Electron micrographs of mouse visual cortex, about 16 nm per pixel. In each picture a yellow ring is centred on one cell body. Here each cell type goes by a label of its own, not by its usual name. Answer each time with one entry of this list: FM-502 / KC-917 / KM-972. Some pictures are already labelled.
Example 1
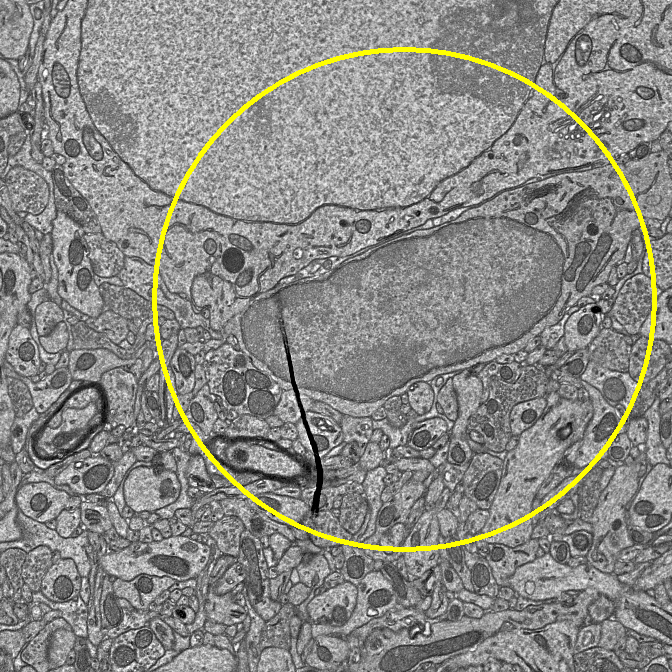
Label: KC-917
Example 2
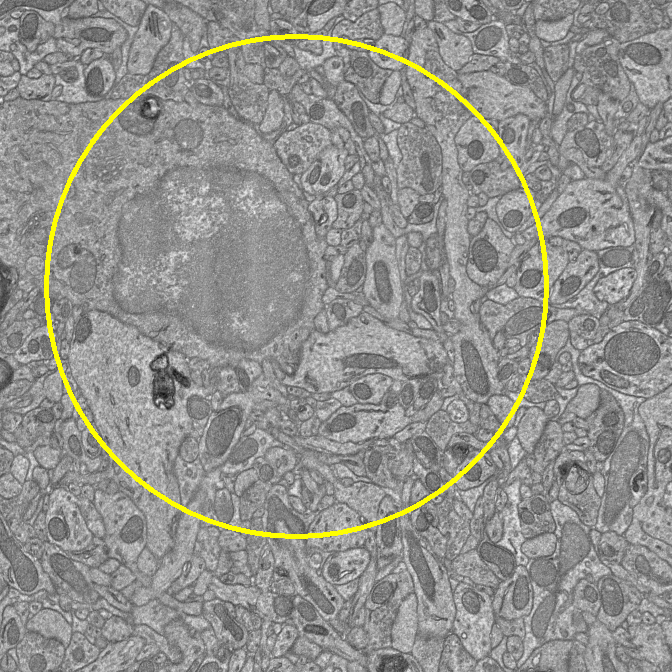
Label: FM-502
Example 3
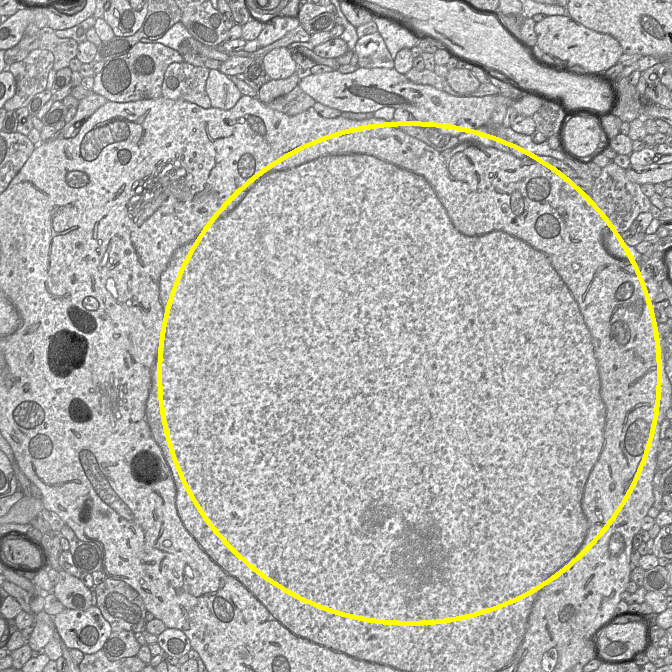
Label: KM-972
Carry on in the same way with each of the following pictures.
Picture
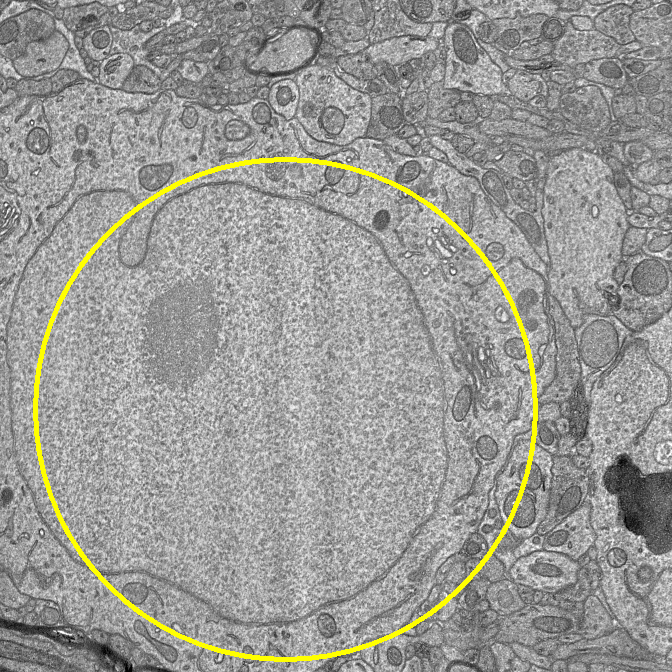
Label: KM-972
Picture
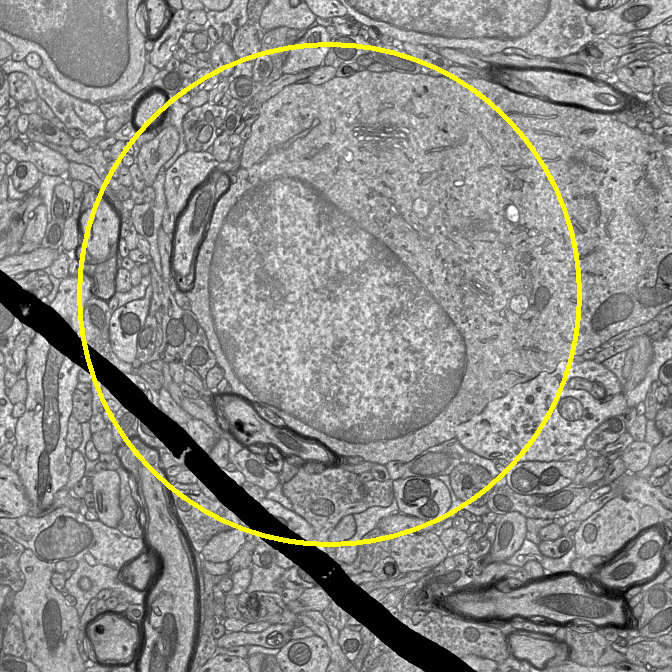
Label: FM-502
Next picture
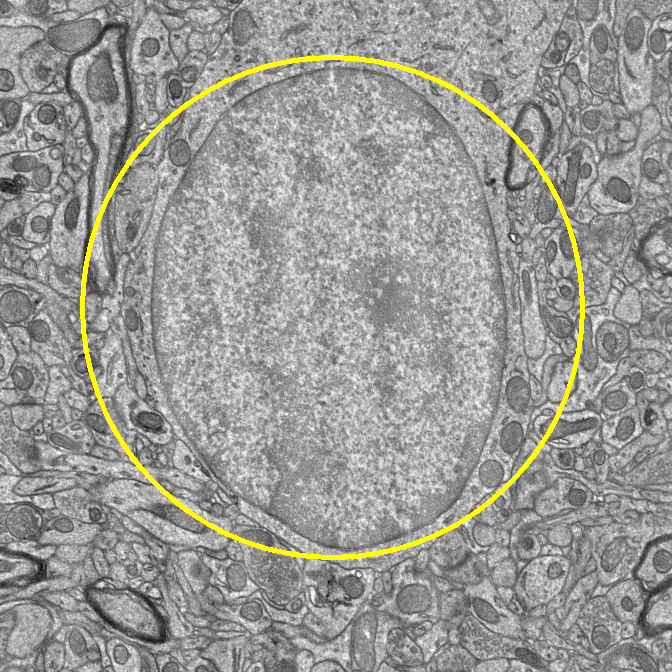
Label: FM-502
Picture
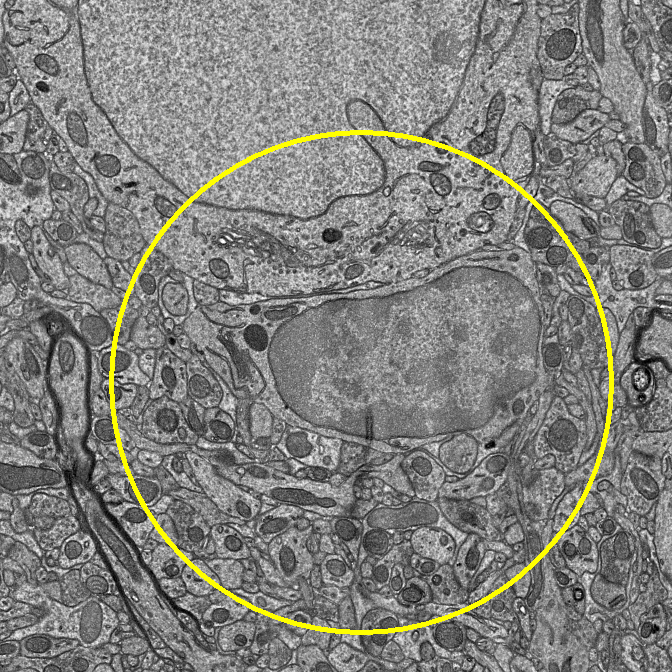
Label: KC-917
